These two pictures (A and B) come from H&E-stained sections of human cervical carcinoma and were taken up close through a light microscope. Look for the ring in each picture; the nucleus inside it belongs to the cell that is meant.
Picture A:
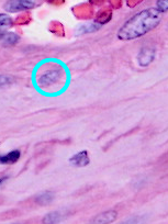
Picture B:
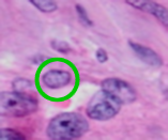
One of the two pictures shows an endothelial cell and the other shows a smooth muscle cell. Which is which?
A: smooth muscle cell
B: endothelial cell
